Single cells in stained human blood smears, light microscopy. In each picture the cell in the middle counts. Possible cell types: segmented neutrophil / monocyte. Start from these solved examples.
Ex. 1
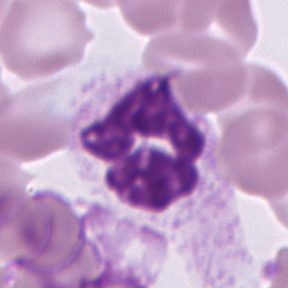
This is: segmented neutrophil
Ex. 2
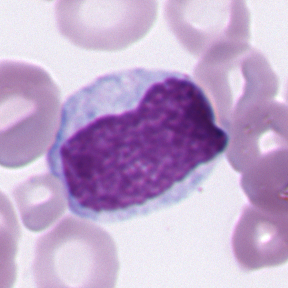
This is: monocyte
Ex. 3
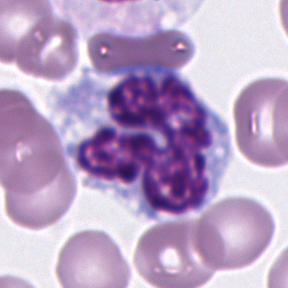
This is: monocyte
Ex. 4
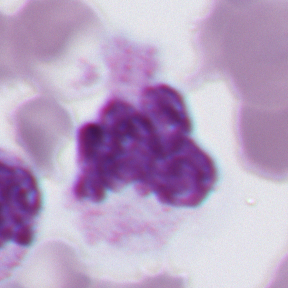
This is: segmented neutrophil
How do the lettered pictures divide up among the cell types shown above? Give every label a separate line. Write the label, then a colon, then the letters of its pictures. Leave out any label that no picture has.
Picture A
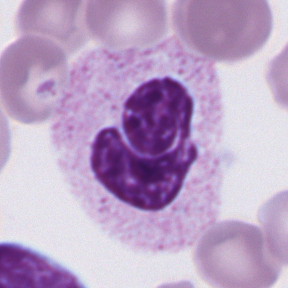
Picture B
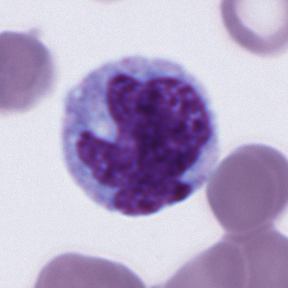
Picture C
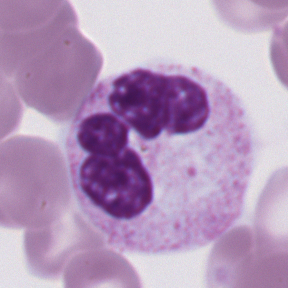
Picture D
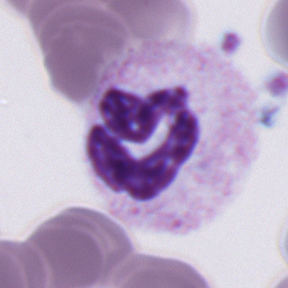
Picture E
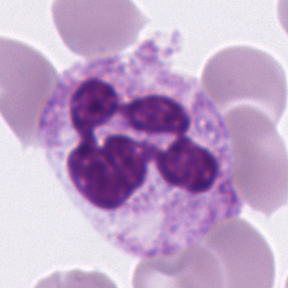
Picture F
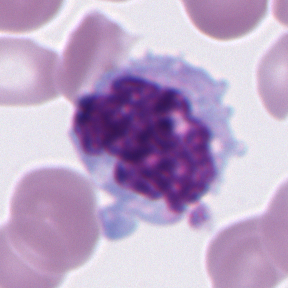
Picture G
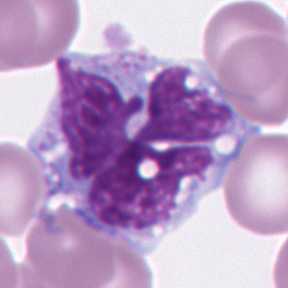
segmented neutrophil: A, C, D, E
monocyte: B, F, G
